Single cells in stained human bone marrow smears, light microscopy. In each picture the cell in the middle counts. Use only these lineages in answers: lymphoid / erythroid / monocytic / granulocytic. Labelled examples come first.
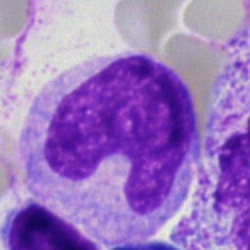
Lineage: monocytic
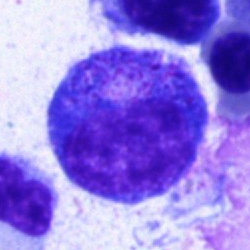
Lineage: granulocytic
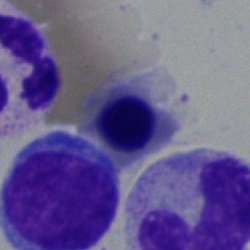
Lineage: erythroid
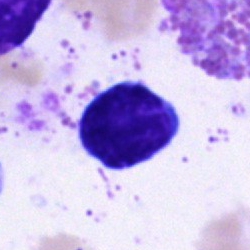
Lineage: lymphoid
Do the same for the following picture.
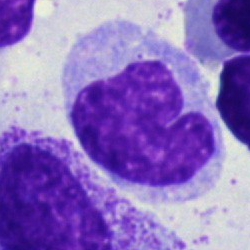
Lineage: monocytic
